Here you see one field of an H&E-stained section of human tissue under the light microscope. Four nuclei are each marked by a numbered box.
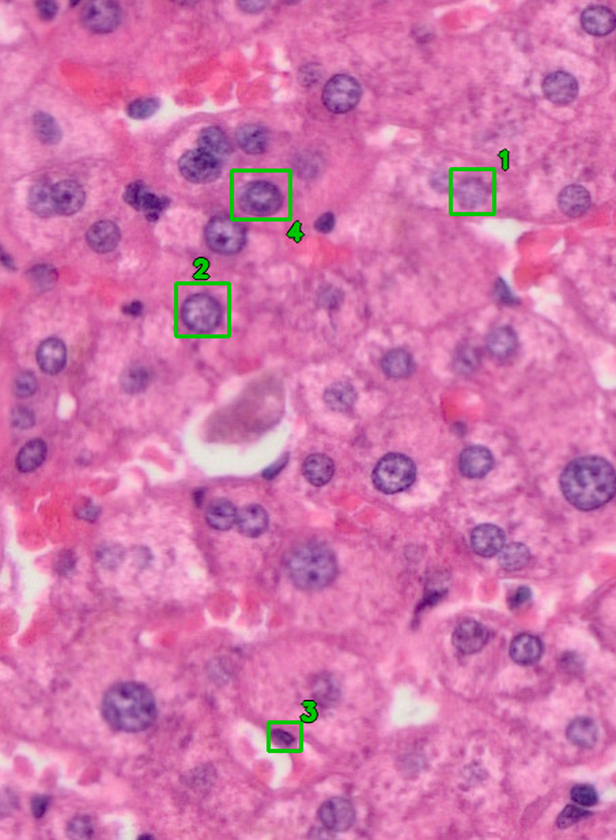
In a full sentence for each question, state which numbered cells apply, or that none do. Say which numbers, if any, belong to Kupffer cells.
Only the cell with number 3 is a Kupffer cell.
